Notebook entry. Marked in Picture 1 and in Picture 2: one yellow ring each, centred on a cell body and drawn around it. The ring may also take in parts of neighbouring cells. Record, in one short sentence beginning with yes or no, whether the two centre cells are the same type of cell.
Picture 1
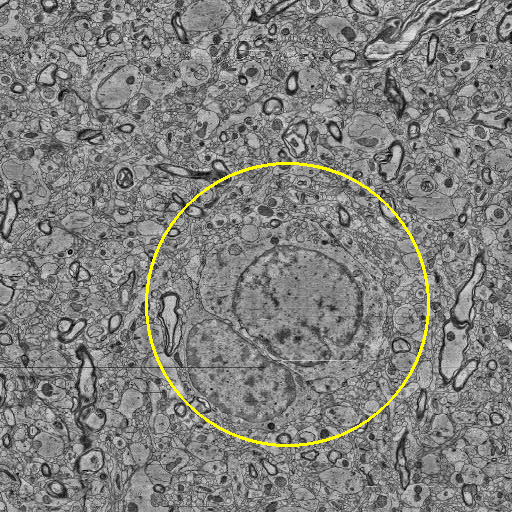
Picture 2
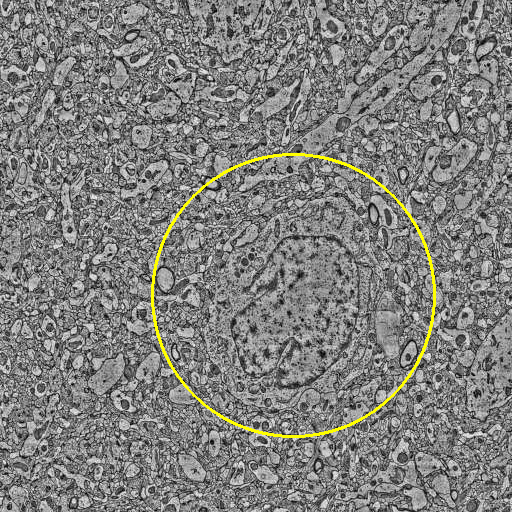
Yes, both are the same type of cell.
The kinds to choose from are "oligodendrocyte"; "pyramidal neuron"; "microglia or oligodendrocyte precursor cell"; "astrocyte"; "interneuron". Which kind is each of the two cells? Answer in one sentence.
In the first picture and in the second, the ring is centred on an interneuron.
